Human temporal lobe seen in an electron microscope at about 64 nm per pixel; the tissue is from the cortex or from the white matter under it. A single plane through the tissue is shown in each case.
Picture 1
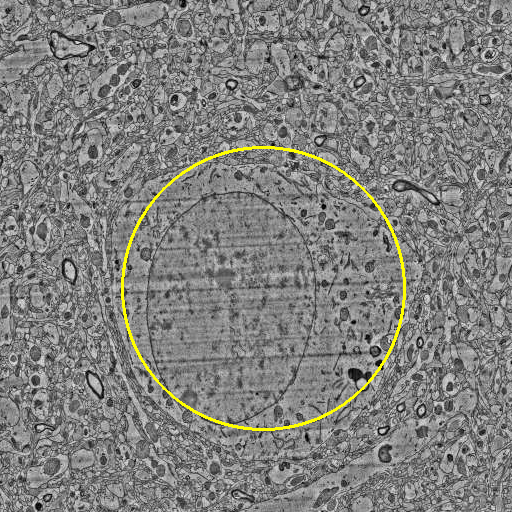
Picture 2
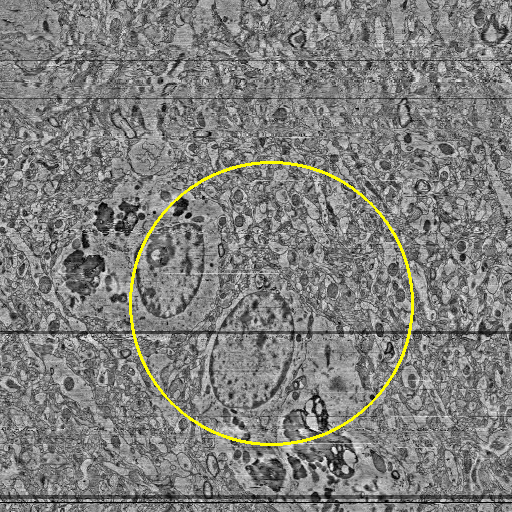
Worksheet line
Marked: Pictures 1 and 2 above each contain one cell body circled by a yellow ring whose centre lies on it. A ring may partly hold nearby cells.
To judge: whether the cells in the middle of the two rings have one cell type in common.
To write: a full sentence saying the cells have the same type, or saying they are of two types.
The cells in the middle of the rings in Picture 1 and Picture 2 are of two types.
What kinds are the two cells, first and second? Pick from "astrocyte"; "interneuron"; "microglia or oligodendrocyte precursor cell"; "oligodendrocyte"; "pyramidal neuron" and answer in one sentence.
The second picture holds an astrocyte in its ring, and the first holds a pyramidal neuron.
